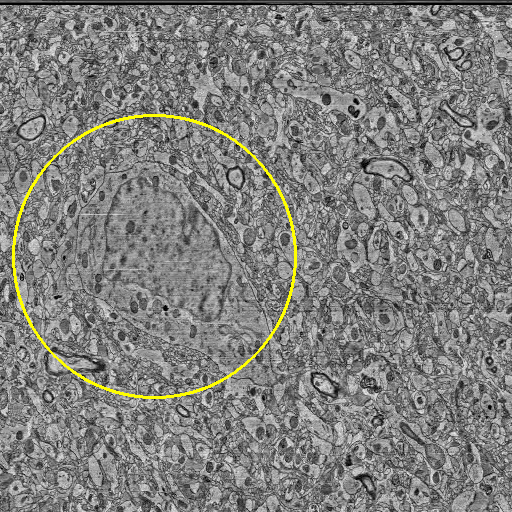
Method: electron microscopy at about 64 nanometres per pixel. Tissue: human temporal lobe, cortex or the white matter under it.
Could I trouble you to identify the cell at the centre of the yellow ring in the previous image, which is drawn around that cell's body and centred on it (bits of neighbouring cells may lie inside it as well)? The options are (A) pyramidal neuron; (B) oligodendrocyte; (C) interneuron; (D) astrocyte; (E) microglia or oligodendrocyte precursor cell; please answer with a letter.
C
